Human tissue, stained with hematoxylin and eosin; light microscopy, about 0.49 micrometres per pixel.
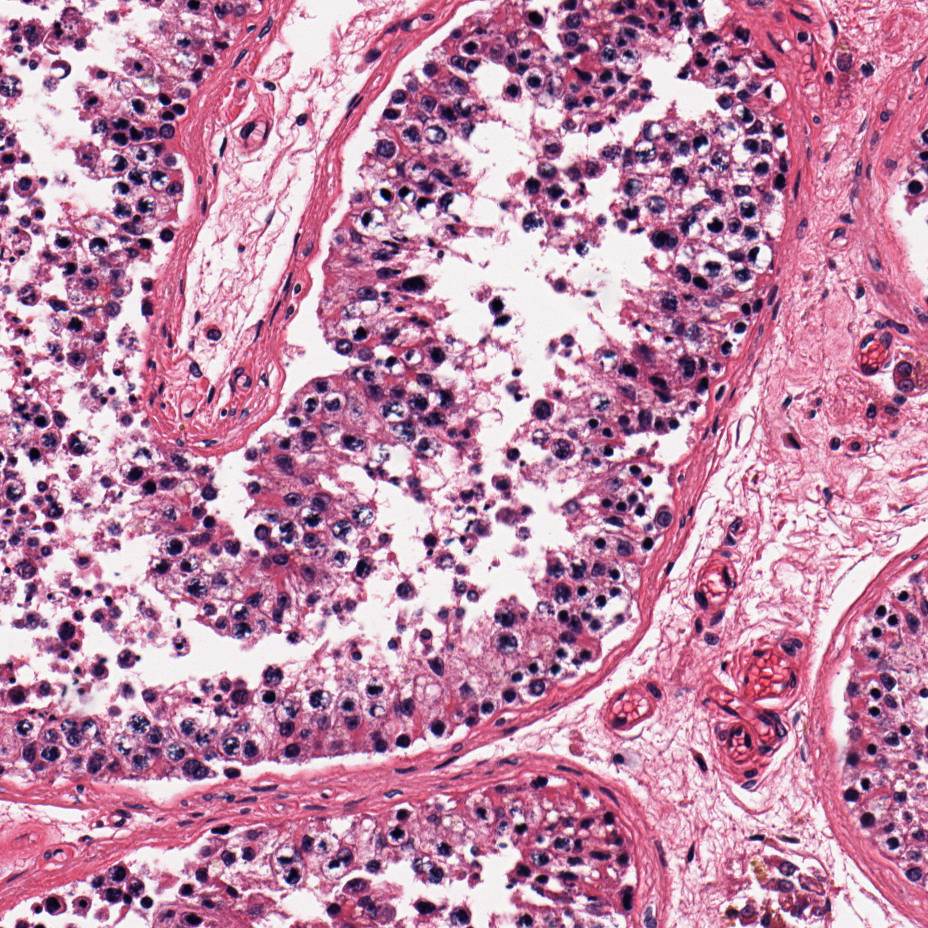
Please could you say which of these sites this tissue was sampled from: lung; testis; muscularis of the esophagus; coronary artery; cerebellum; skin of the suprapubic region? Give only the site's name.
testis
